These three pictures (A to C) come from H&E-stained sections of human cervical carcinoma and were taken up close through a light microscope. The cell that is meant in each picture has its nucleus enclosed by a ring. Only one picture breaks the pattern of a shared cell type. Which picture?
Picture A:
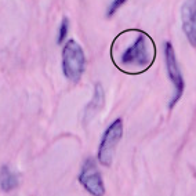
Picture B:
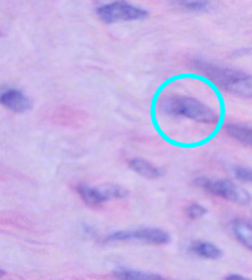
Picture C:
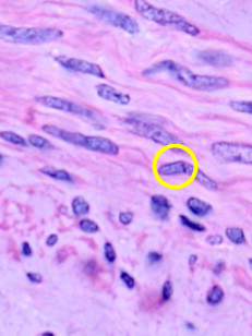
A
